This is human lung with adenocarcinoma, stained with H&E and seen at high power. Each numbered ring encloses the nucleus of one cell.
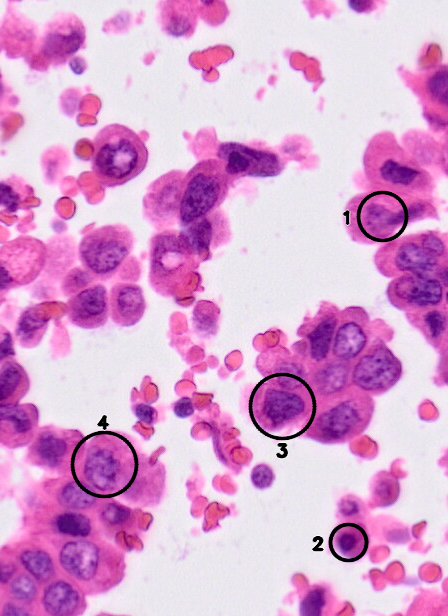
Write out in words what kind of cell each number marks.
Cell 1 is a carcinoma cell, cell 2 is a macrophage or monocyte, cell 3 is a carcinoma cell and cell 4 is a carcinoma cell.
